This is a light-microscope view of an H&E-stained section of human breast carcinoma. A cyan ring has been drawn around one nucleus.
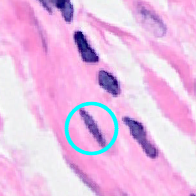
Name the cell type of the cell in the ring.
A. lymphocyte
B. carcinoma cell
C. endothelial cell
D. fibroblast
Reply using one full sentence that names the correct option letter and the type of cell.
Here the right answer is D, with the cell in the ring being a fibroblast.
